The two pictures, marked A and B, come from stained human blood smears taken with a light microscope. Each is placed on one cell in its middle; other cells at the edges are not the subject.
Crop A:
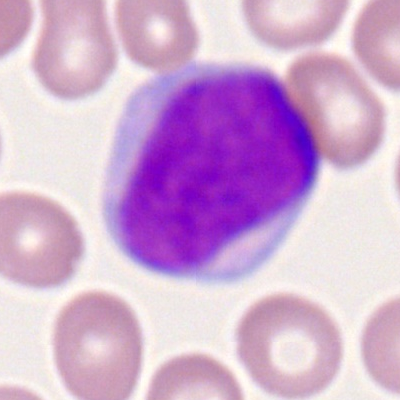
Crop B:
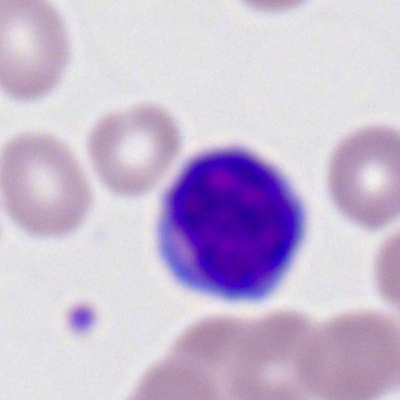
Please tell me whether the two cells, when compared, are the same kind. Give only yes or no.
no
